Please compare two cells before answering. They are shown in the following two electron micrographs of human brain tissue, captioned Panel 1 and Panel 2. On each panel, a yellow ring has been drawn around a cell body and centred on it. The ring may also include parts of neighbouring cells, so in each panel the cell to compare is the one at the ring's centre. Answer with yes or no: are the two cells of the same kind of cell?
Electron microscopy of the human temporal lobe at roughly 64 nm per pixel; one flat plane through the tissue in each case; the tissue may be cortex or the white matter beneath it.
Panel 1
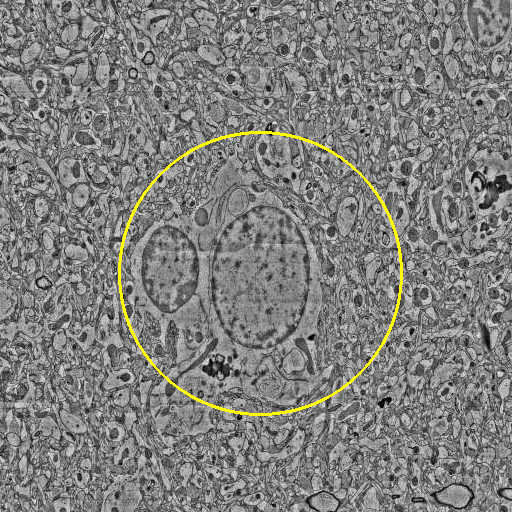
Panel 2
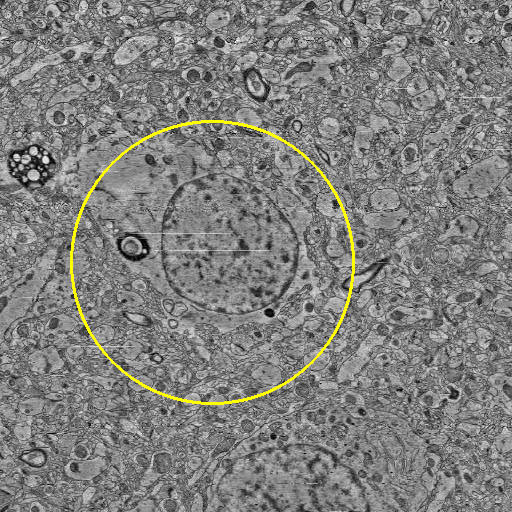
yes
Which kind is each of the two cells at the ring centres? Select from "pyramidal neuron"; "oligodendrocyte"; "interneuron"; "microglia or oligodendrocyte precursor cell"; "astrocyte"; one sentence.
The ring centre holds an astrocyte in each of the two pictures.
